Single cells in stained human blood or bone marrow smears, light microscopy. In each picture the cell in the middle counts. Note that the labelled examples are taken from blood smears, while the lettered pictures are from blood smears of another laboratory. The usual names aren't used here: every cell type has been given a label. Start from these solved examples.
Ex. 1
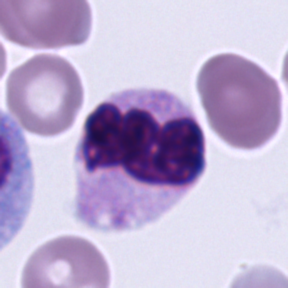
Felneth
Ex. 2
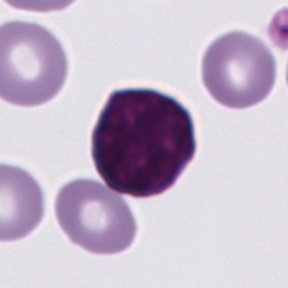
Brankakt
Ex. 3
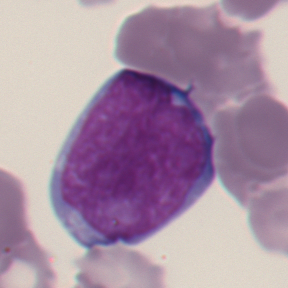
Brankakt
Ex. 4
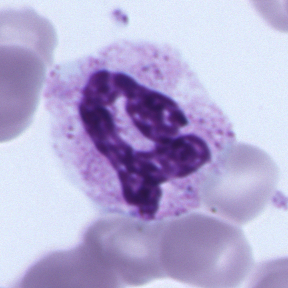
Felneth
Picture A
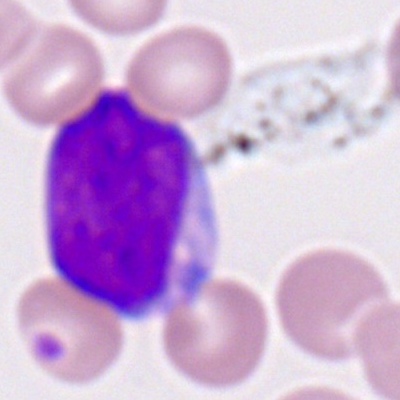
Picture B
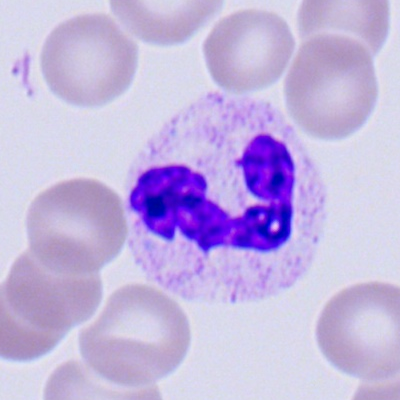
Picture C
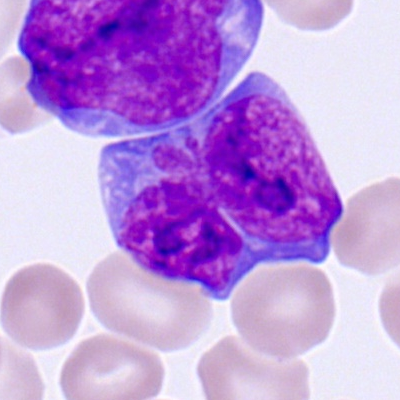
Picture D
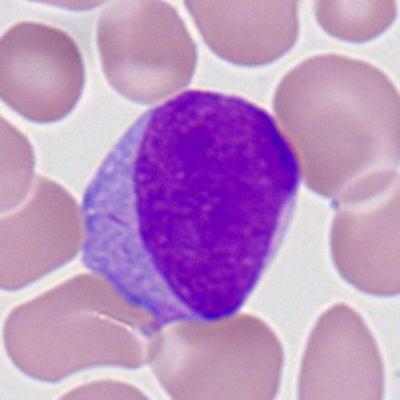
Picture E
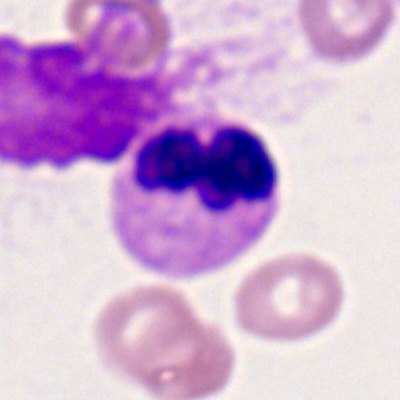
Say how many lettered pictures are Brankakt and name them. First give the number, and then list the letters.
3, namely A, C, D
